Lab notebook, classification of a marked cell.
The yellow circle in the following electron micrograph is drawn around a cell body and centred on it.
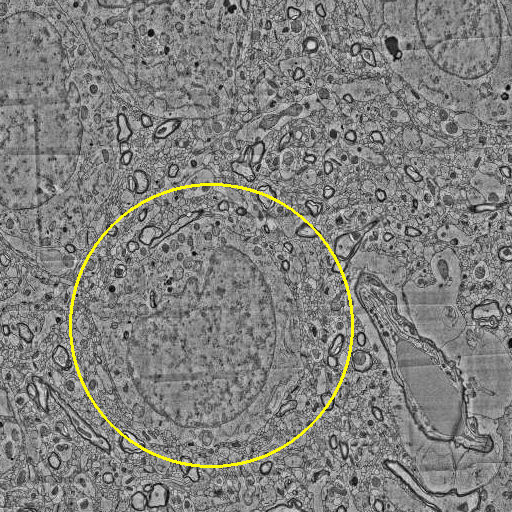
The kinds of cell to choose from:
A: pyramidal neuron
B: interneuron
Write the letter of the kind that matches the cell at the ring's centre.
B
